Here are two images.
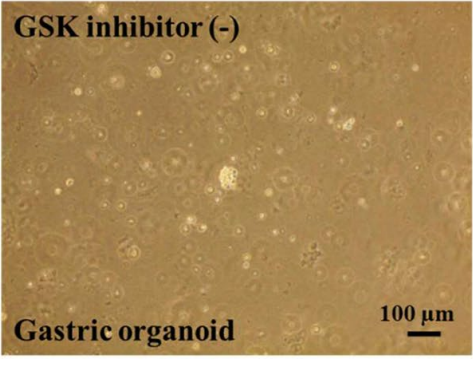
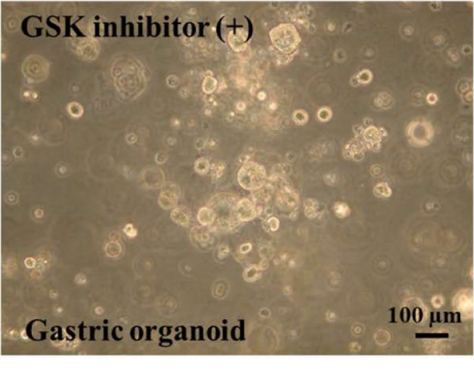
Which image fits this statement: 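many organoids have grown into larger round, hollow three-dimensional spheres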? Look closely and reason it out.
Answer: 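Second image: numerous bright, round, sharply outlined spheres of varied size, some clustered, several with a visible wall and lumen. First image: mostly small, faint, scattered round bodies and debris, with few larger well-formed spheres. The answer: the second image.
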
